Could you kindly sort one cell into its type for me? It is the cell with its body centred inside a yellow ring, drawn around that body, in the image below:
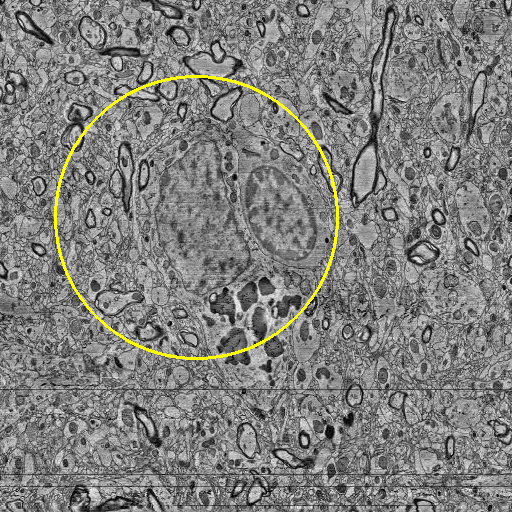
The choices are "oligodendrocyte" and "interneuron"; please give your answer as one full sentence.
The cell whose body lies centred in the yellow ring here is an interneuron.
